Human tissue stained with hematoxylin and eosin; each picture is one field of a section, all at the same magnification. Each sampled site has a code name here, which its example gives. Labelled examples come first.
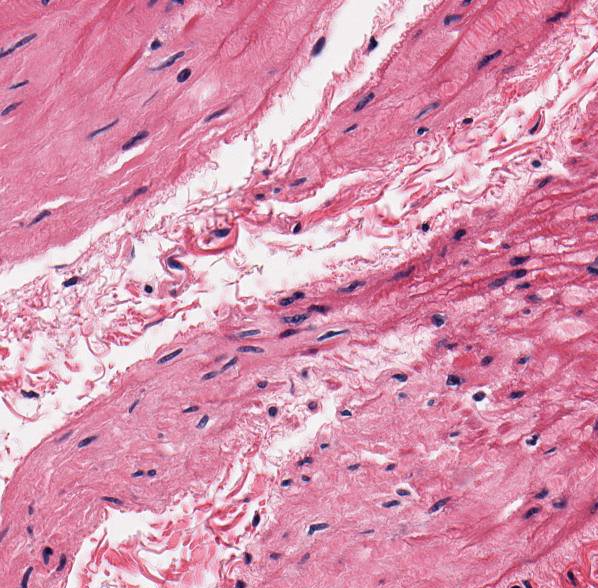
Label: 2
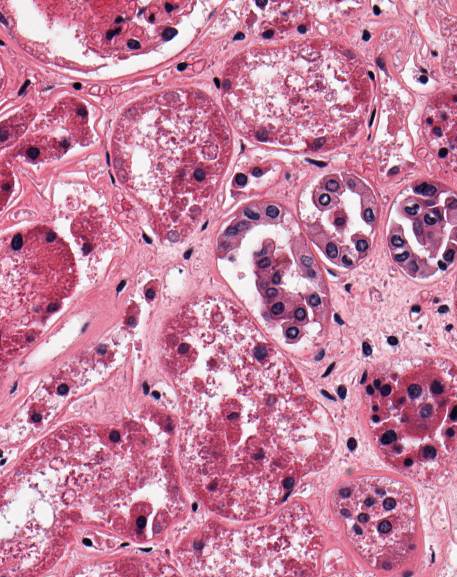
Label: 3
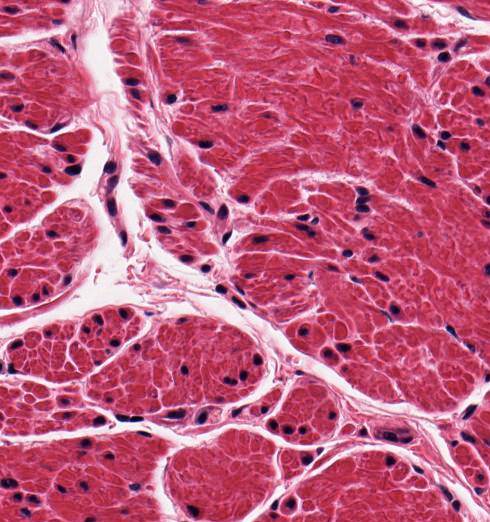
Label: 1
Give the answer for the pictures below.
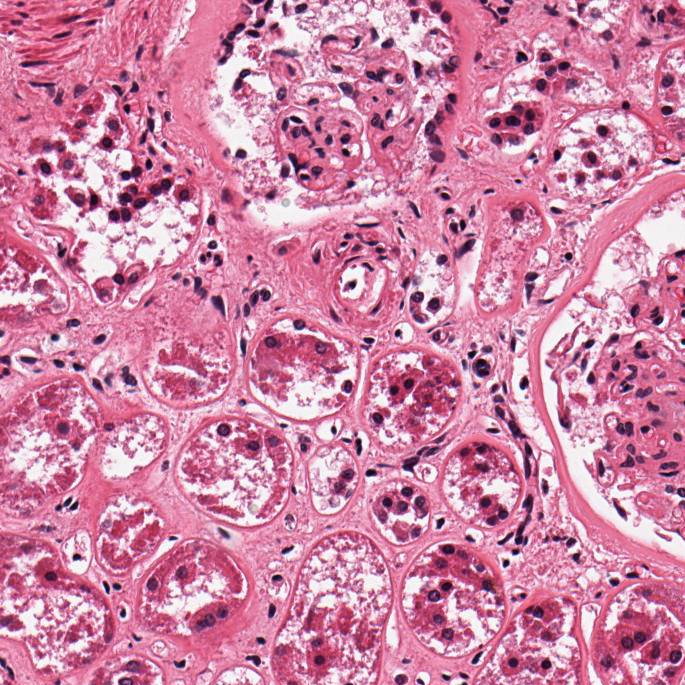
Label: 3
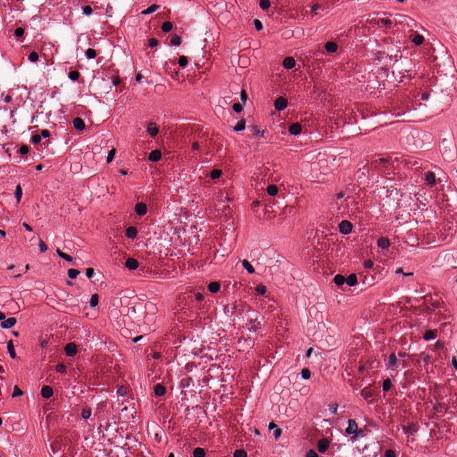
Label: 3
